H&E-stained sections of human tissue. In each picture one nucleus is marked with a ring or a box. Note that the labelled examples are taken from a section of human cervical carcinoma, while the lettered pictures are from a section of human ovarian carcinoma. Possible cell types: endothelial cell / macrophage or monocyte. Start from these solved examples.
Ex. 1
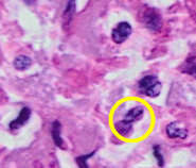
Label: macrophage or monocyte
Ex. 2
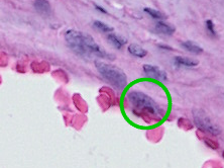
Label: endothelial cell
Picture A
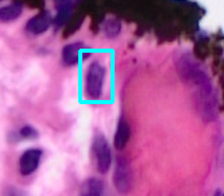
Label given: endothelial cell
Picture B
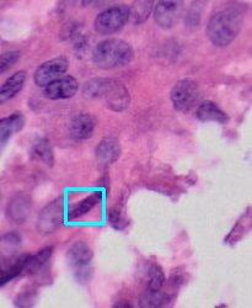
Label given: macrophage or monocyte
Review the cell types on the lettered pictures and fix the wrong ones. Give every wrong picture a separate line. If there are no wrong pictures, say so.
A: not endothelial cell but macrophage or monocyte
B: not macrophage or monocyte but endothelial cell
